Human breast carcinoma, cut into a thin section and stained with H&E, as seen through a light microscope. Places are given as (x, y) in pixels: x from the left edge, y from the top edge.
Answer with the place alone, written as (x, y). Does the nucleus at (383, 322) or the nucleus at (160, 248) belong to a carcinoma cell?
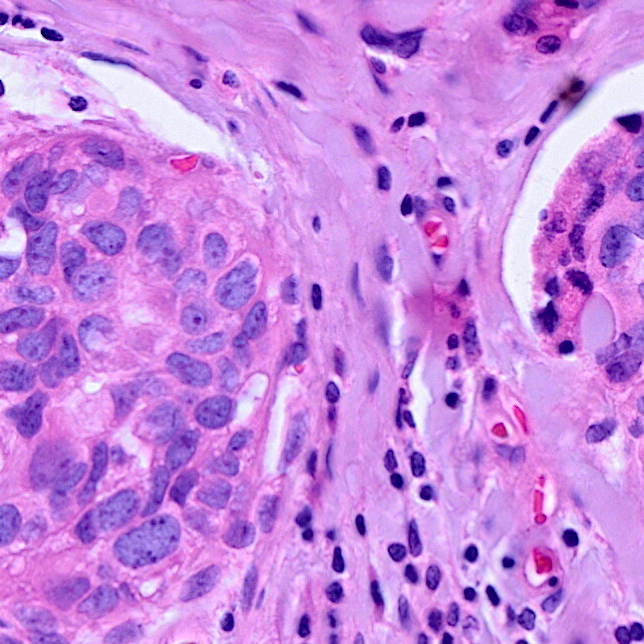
(160, 248)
